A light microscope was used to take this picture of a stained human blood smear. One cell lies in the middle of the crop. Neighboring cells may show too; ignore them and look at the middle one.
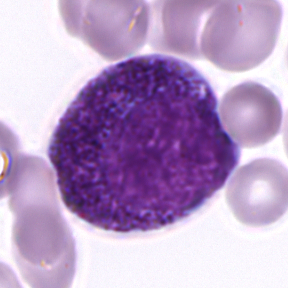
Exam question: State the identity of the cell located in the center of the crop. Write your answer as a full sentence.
At the middle of the frame sits a promyelocyte.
